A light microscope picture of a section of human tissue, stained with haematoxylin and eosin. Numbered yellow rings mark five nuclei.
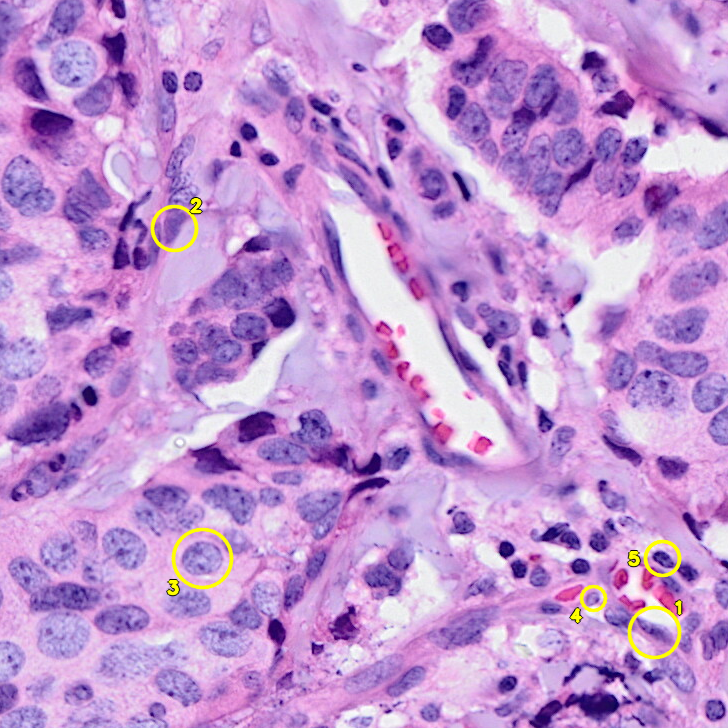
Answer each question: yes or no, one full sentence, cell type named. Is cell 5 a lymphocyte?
Yes, the cell identified as number 5 is a lymphocyte.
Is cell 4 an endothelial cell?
Yes, number 4 in this section denotes an endothelial cell.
